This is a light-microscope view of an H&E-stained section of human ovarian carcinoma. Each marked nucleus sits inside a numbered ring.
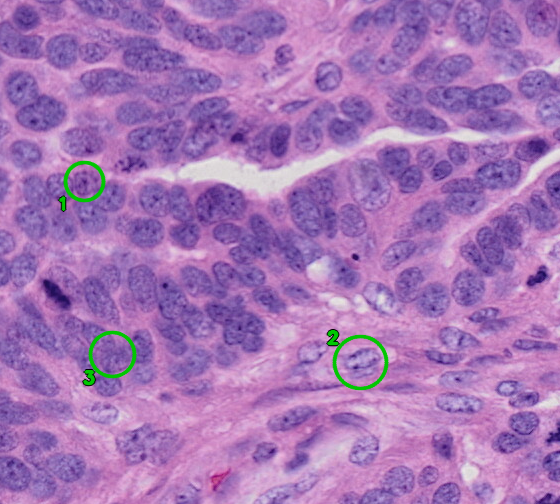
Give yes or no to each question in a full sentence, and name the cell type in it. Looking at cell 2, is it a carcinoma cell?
No, cell 2 does not represent a carcinoma cell; it represents a fibroblast.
